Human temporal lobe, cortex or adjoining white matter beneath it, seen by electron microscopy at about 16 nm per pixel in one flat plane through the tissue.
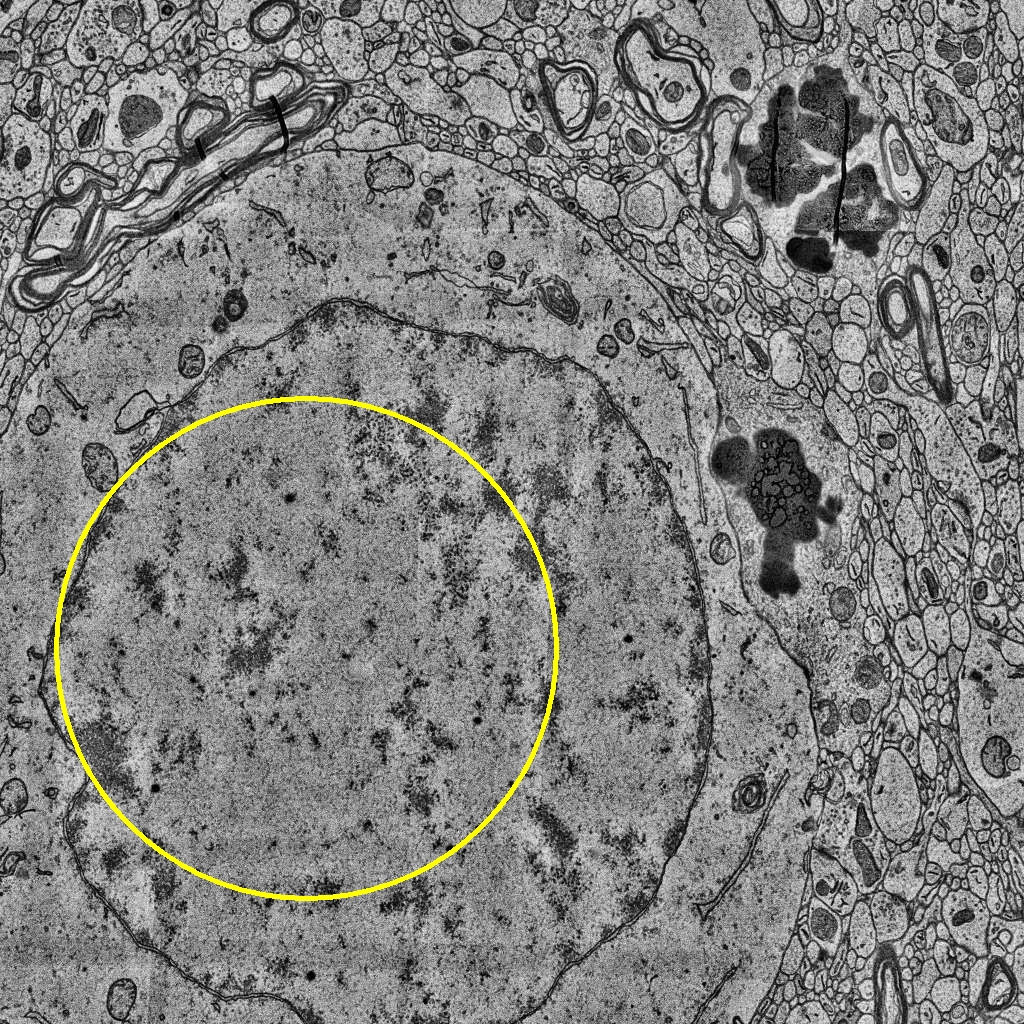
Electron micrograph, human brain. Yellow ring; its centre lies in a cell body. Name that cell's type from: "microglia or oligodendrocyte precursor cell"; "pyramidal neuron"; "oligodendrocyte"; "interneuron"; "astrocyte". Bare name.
interneuron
